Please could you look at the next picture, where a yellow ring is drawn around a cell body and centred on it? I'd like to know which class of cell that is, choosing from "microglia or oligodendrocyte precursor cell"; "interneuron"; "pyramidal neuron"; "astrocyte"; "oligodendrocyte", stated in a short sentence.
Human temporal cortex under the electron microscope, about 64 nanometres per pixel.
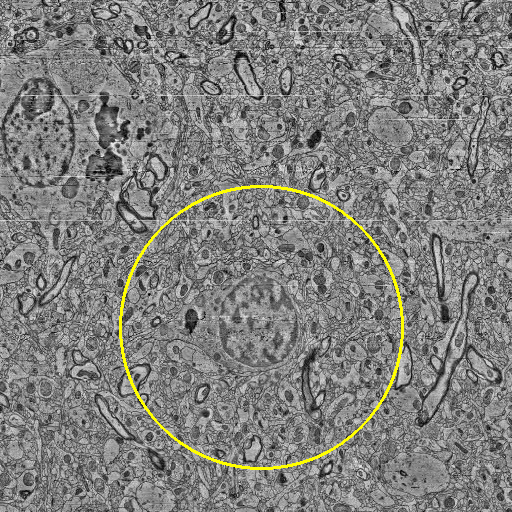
The ring's centre lies on an oligodendrocyte.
